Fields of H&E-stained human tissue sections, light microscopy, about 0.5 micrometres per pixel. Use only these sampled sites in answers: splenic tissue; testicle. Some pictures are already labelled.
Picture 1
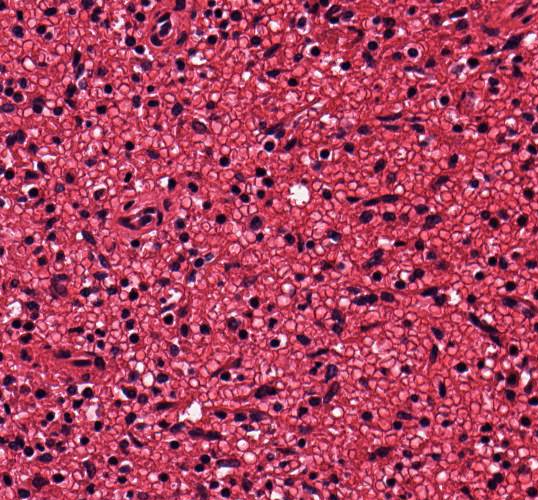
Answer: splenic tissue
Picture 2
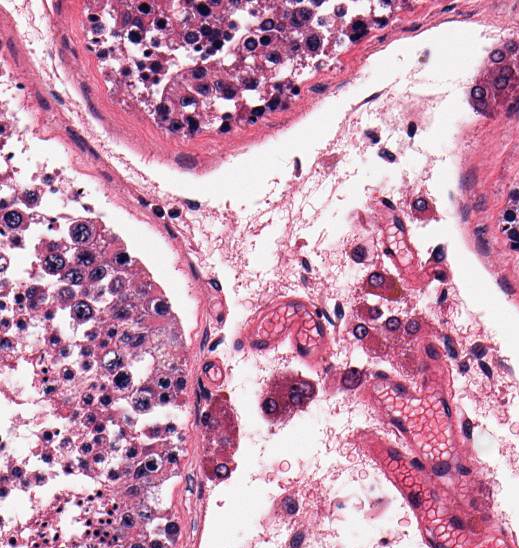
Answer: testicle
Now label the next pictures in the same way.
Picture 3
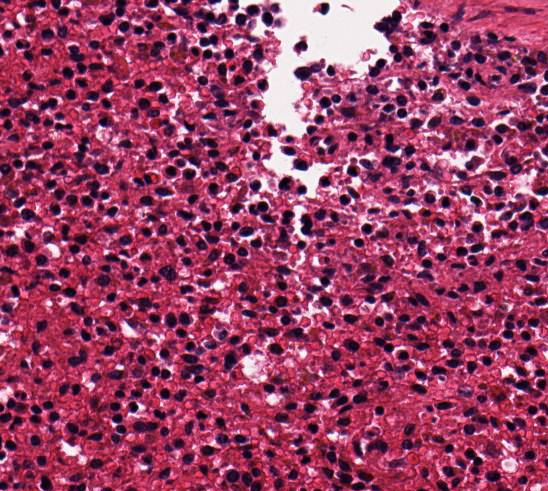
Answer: splenic tissue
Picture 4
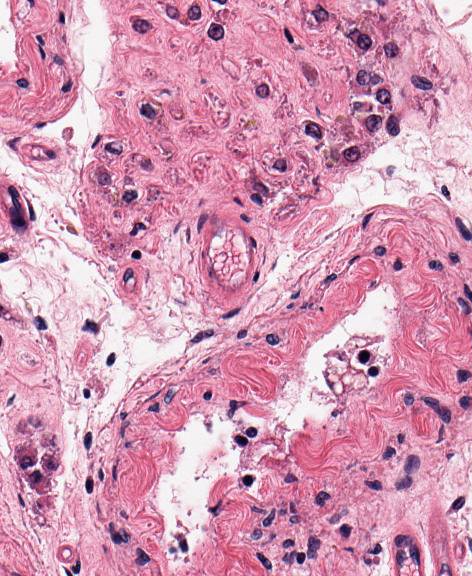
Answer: testicle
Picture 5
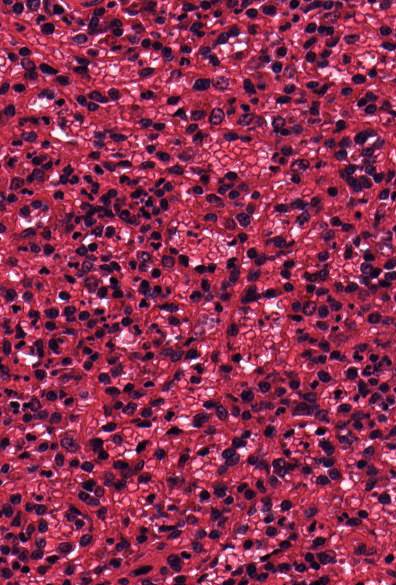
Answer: splenic tissue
